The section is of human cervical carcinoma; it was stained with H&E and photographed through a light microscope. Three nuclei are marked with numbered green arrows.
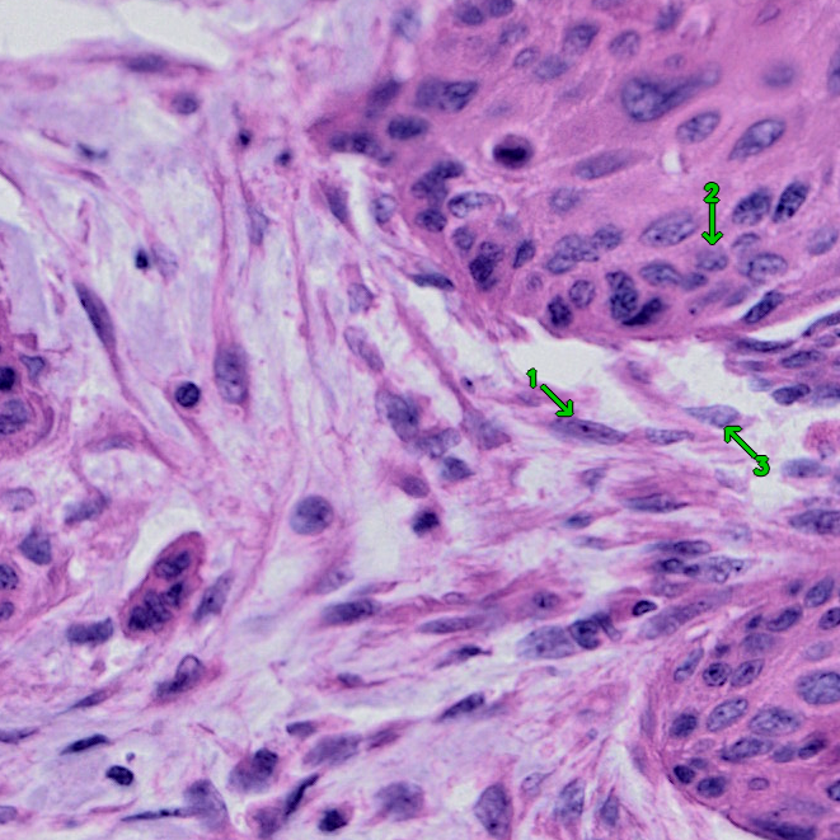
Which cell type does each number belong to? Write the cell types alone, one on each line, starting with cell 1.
fibroblast
squamous carcinoma cell
fibroblast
